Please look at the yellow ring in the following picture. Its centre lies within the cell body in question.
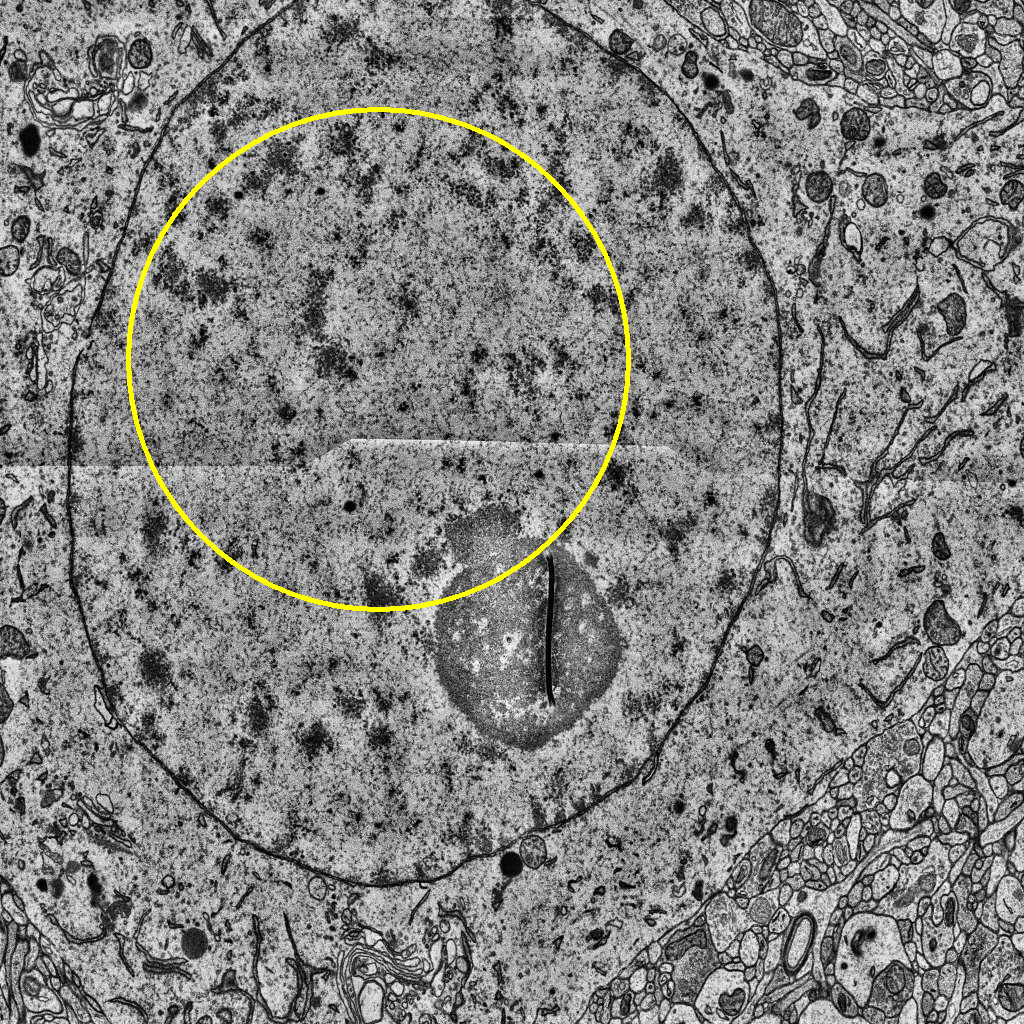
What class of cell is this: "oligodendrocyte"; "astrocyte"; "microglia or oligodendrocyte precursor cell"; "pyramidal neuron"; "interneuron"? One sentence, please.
The centre of the ring lies in the cell body of a pyramidal neuron.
